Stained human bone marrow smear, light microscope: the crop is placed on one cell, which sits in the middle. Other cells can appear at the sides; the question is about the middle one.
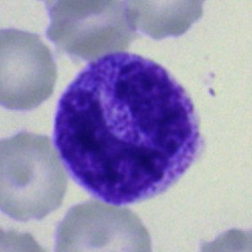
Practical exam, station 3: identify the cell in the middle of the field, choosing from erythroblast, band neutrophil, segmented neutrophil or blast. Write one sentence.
What sits at the centre of this crop is a band neutrophil.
